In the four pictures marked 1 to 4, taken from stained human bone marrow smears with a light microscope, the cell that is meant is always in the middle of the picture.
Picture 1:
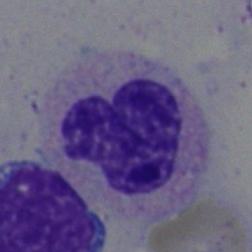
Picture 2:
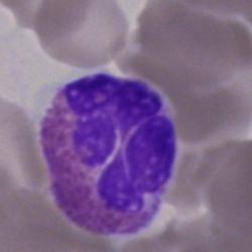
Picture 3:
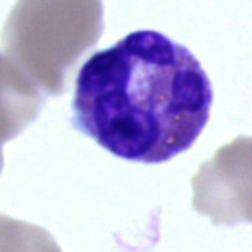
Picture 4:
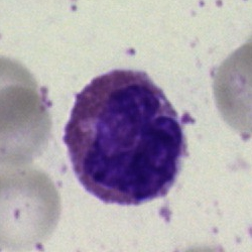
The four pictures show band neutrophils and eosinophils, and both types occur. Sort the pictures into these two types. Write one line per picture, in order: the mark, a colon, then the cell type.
1: band neutrophil
2: eosinophil
3: eosinophil
4: eosinophil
